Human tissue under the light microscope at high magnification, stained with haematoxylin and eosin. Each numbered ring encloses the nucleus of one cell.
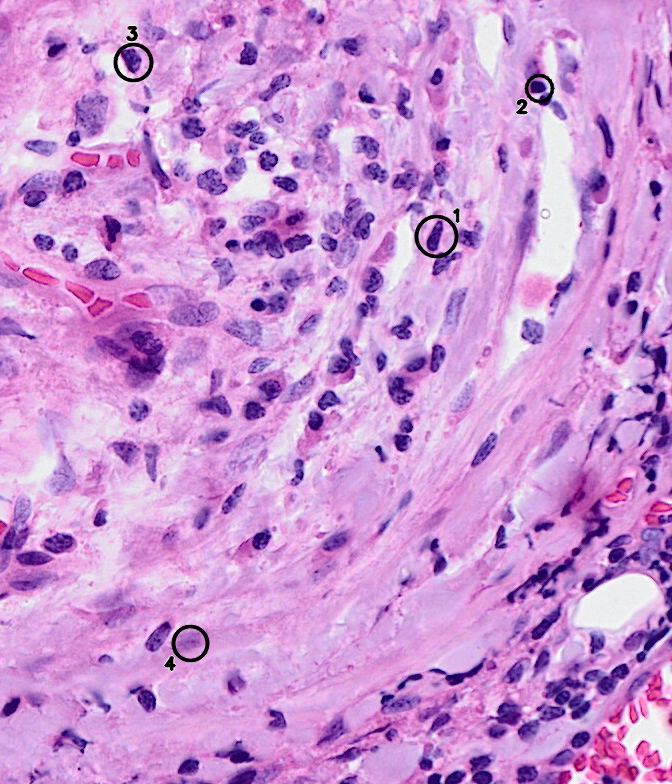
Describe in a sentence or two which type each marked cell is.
Cells 1, 2 and 3 are lymphocytes. Cell 4 is a fibroblast.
